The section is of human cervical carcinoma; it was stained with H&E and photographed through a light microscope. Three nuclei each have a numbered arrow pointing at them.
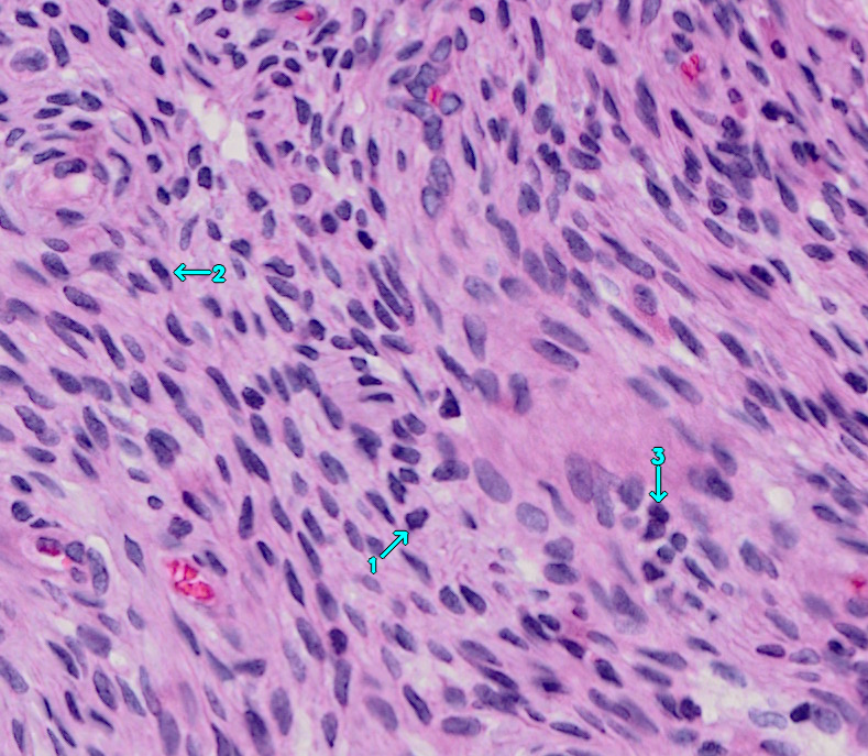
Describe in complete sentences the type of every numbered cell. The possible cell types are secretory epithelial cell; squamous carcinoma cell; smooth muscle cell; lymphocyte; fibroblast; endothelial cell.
Cell 1 is a fibroblast, cell 2 is a fibroblast and cell 3 is a lymphocyte.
